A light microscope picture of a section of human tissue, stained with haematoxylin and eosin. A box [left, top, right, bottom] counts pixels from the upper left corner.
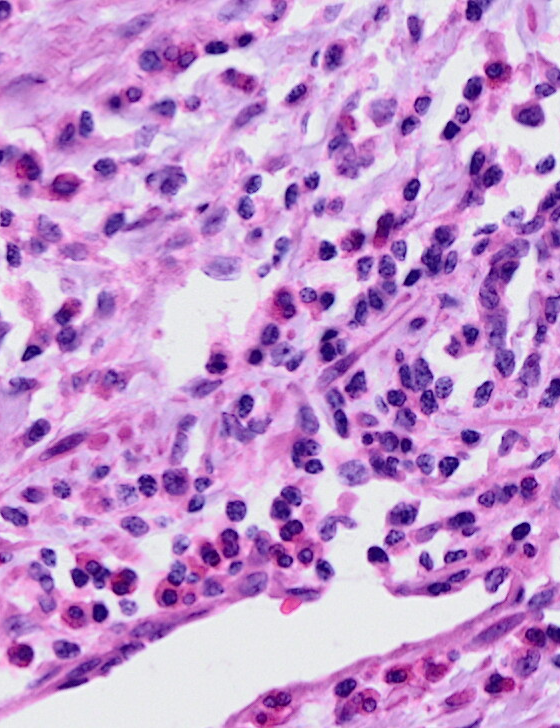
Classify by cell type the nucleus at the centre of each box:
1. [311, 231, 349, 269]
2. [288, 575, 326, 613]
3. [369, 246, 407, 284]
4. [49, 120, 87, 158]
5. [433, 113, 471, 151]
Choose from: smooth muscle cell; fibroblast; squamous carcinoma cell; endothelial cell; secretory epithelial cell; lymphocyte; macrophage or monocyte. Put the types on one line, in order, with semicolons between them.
lymphocyte; endothelial cell; lymphocyte; macrophage or monocyte; lymphocyte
